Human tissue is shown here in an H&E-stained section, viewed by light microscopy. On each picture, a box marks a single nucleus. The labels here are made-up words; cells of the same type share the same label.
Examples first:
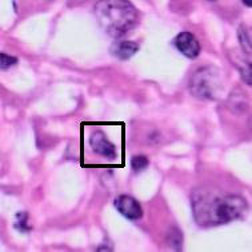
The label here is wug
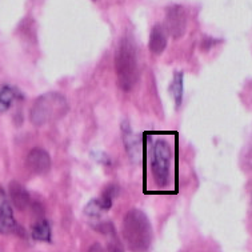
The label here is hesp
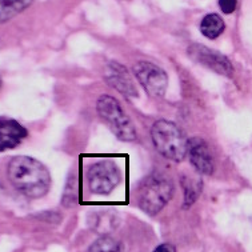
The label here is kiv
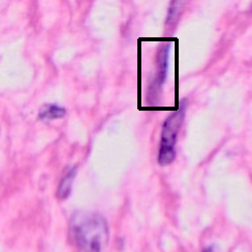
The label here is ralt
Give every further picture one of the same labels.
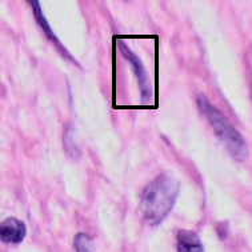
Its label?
ralt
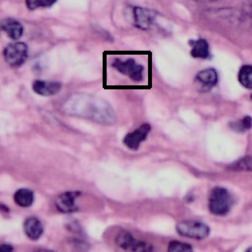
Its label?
wug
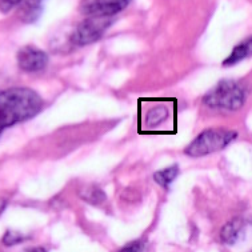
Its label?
hesp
